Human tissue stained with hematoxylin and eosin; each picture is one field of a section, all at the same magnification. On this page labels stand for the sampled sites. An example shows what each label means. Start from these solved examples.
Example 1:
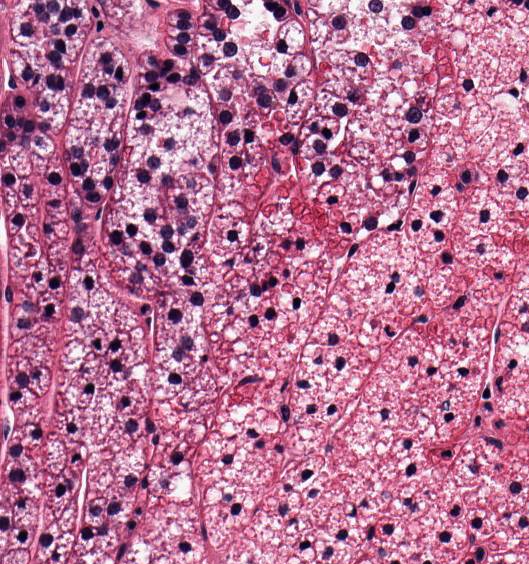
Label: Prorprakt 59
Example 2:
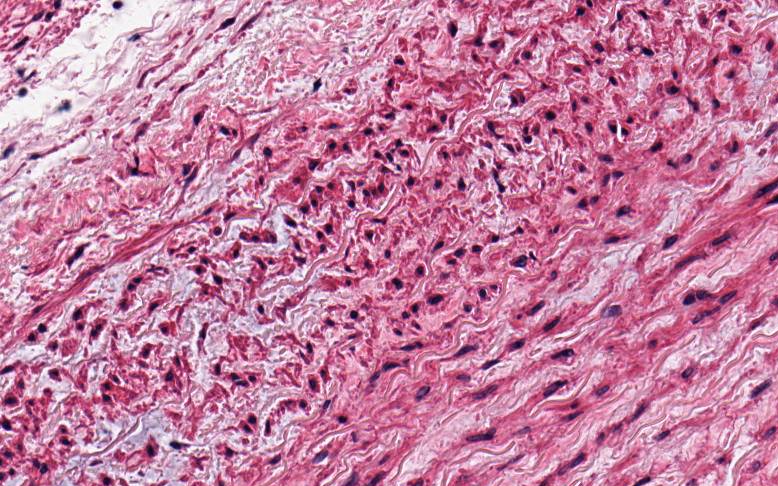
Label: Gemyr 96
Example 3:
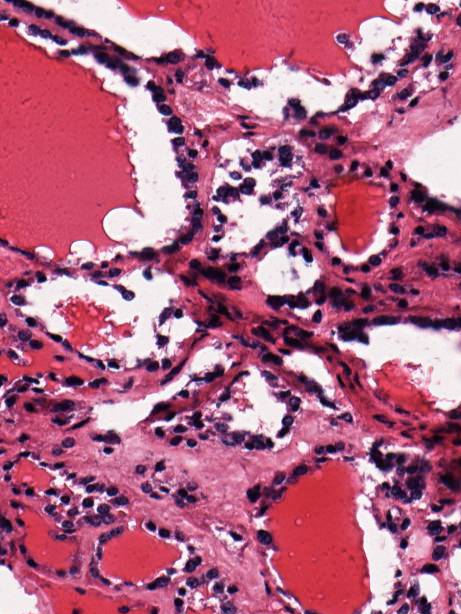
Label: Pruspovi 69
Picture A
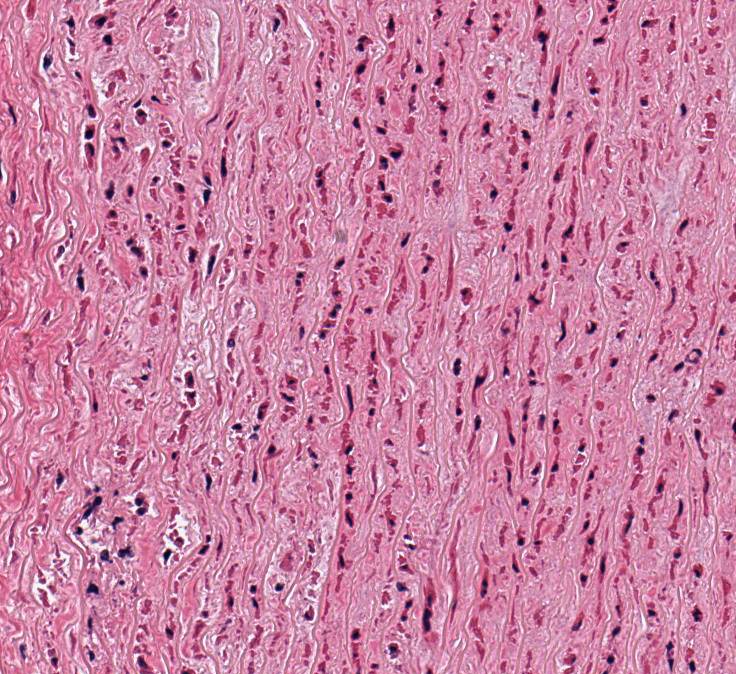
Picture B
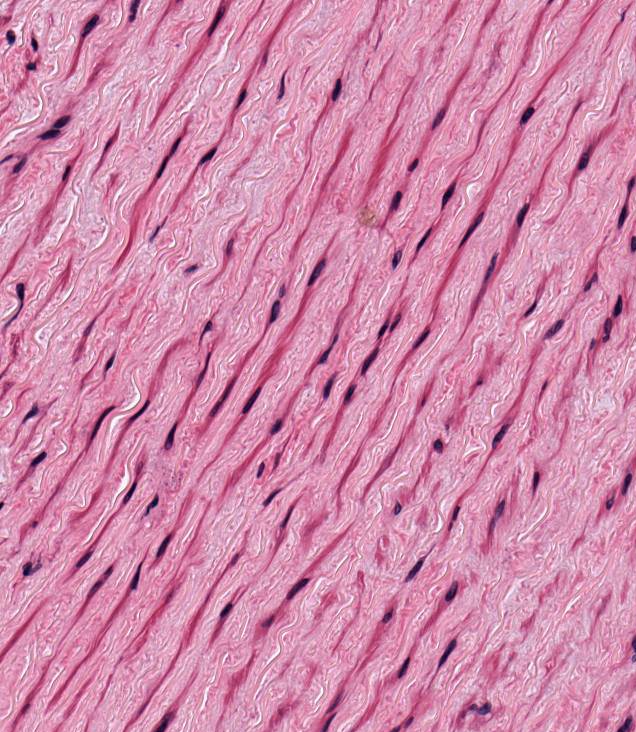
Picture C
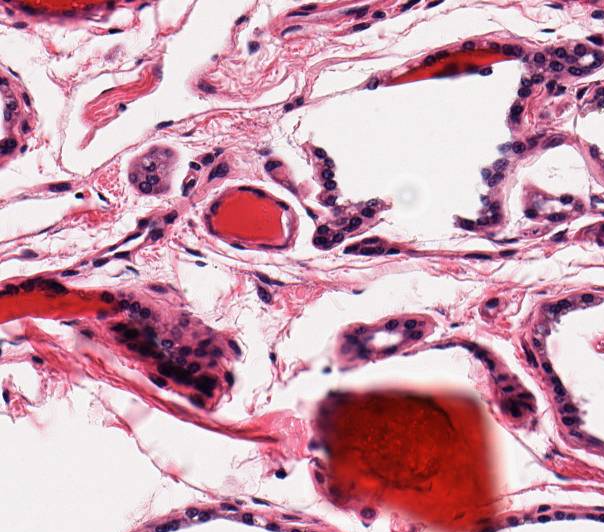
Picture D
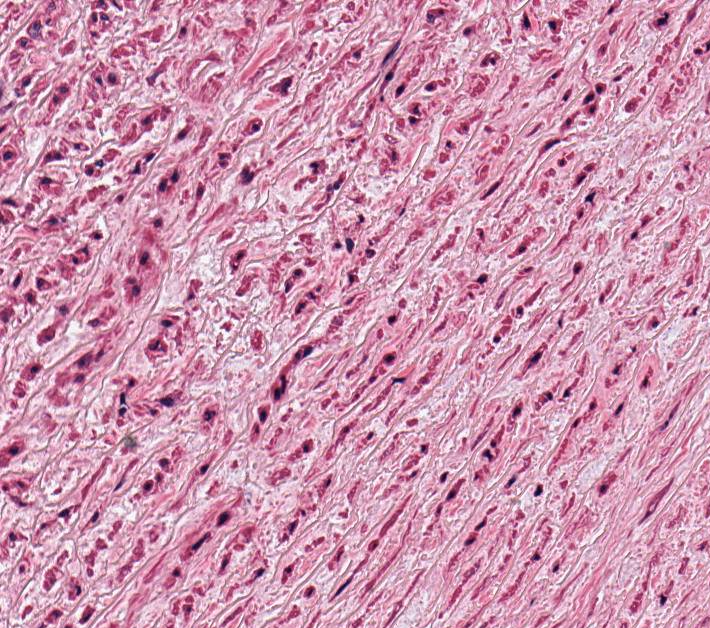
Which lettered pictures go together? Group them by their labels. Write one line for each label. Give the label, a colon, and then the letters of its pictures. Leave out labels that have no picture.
Gemyr 96: A, B, D
Pruspovi 69: C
